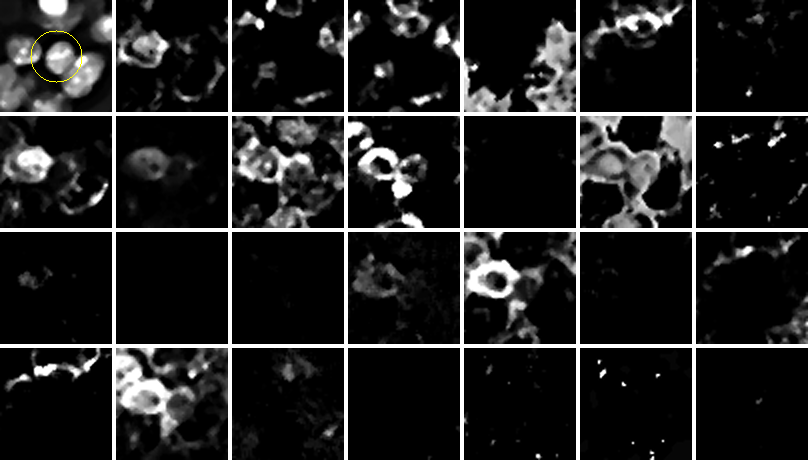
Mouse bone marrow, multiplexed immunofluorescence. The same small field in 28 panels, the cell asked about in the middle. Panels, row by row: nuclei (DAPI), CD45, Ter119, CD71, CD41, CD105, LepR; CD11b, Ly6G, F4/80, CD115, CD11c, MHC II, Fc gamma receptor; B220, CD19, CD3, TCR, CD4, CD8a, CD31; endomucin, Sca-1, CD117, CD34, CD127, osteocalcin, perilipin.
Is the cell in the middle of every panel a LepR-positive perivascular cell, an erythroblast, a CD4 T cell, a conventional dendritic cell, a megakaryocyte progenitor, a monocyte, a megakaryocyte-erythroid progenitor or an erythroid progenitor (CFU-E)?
It is a monocyte.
